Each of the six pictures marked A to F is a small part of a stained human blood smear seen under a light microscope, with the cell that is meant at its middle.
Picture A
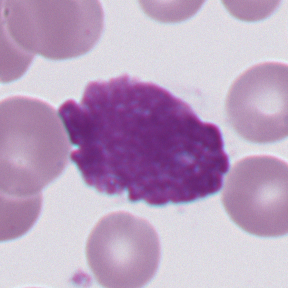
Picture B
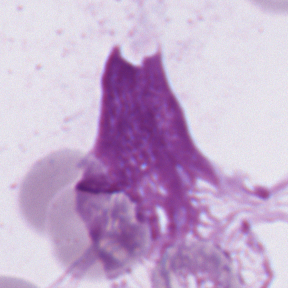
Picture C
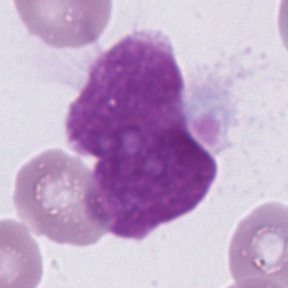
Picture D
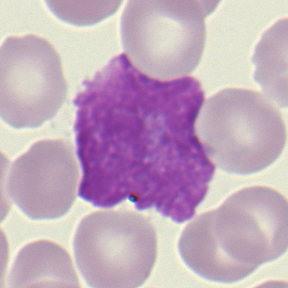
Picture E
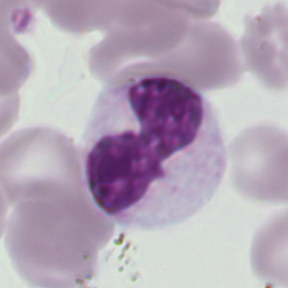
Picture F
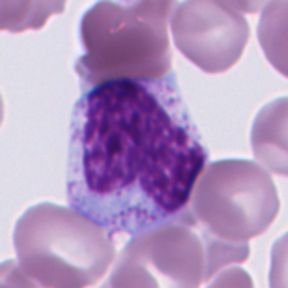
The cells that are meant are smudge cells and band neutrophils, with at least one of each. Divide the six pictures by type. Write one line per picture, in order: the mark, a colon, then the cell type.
A: smudge cell
B: smudge cell
C: smudge cell
D: smudge cell
E: band neutrophil
F: band neutrophil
